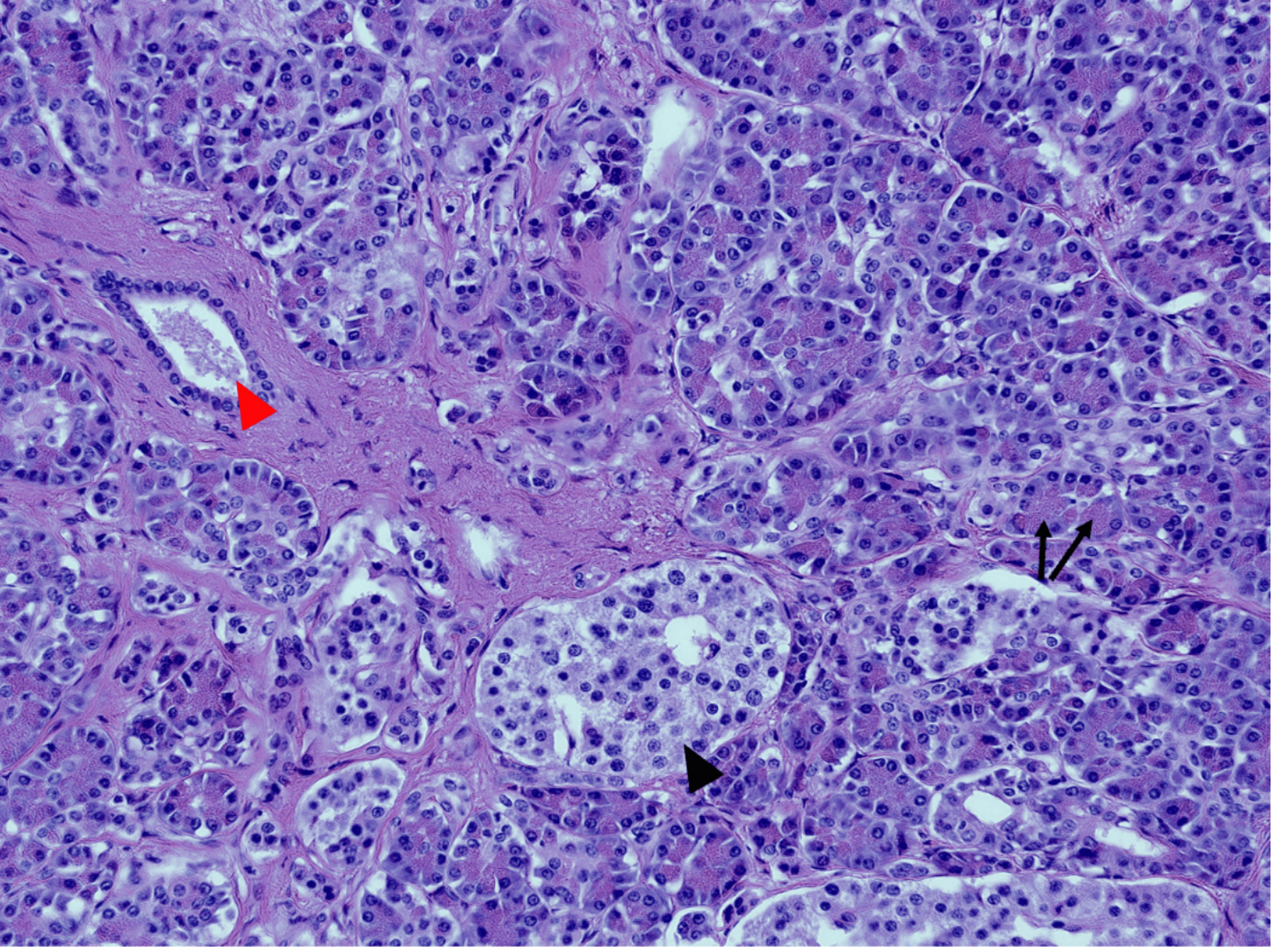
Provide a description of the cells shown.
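This is pancreatic tissue made of many closely packed acini, with a duct and an islet of Langerhans among them. The acini are rounded clusters of cells whose dark round nuclei lie toward the outer edge, with purple, granular cytoplasm toward the small central lumens. Thin pink strands of connective tissue divide the acini into lobule-like groups. On the left a wider band of pink fibrous stroma holds a duct, an open lumen with pale contents lined by a single layer of small cuboidal cells. Near the lower centre lies a rounded, well-bounded islet whose cells have pale, finely granular cytoplasm, standing out as lighter than the surrounding acini.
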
